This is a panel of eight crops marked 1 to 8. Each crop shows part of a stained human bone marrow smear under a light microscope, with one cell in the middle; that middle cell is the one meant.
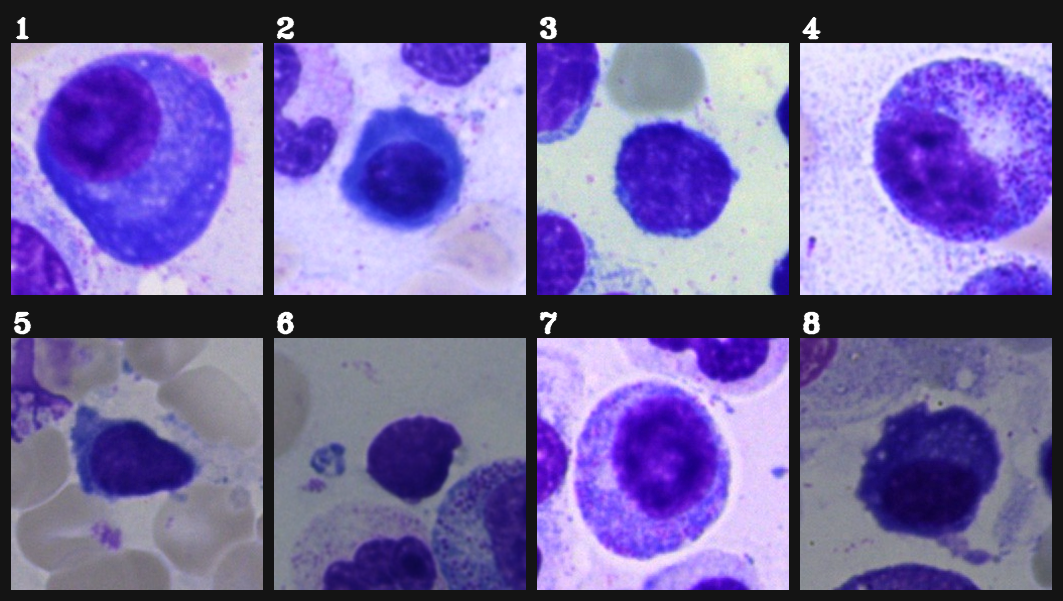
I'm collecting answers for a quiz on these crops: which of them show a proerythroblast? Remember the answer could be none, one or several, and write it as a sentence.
The central cell of each crop is something other than a proerythroblast.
